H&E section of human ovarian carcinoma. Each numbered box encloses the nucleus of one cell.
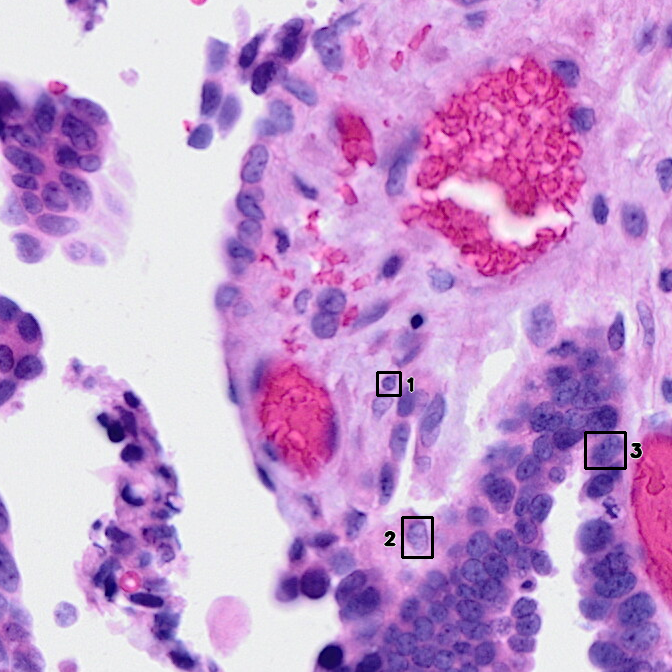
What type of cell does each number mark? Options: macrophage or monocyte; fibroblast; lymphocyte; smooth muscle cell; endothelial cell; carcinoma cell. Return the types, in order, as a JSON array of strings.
["lymphocyte", "fibroblast", "carcinoma cell"]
